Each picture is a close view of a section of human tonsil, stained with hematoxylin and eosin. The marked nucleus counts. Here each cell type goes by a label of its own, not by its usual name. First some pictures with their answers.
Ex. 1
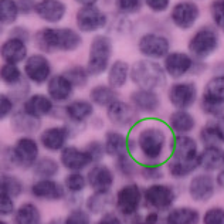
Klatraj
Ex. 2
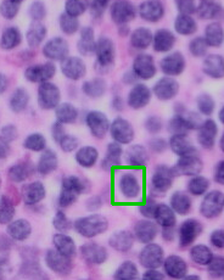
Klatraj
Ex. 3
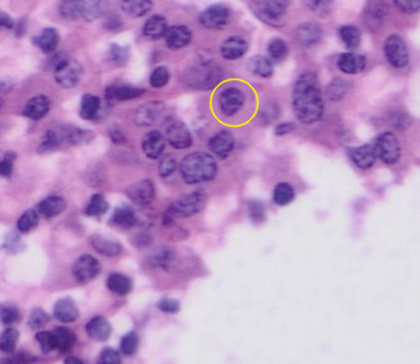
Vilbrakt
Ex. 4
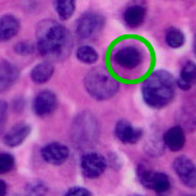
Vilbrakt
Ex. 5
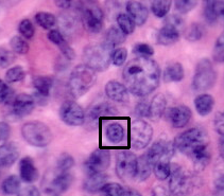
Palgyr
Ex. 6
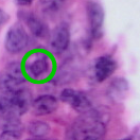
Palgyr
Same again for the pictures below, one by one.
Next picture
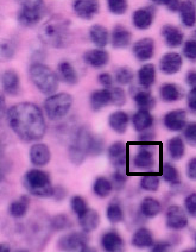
Klatraj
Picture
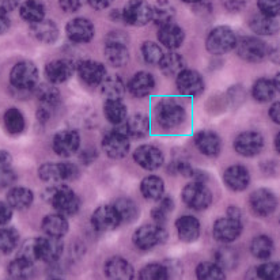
Vilbrakt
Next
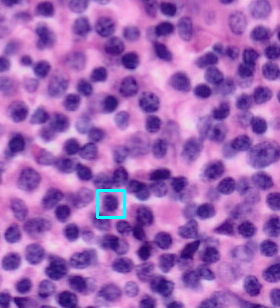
Klatraj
